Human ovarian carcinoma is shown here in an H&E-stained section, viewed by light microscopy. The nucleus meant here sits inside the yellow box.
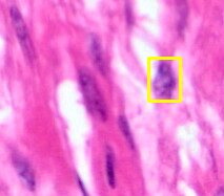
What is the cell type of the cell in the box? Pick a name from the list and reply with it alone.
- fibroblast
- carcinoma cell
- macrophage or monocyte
fibroblast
